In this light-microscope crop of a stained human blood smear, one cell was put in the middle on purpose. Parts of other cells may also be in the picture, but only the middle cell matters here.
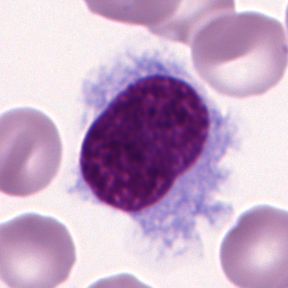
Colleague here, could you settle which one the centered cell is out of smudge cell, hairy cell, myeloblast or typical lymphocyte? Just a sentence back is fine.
The middle of this crop is occupied by a hairy cell.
